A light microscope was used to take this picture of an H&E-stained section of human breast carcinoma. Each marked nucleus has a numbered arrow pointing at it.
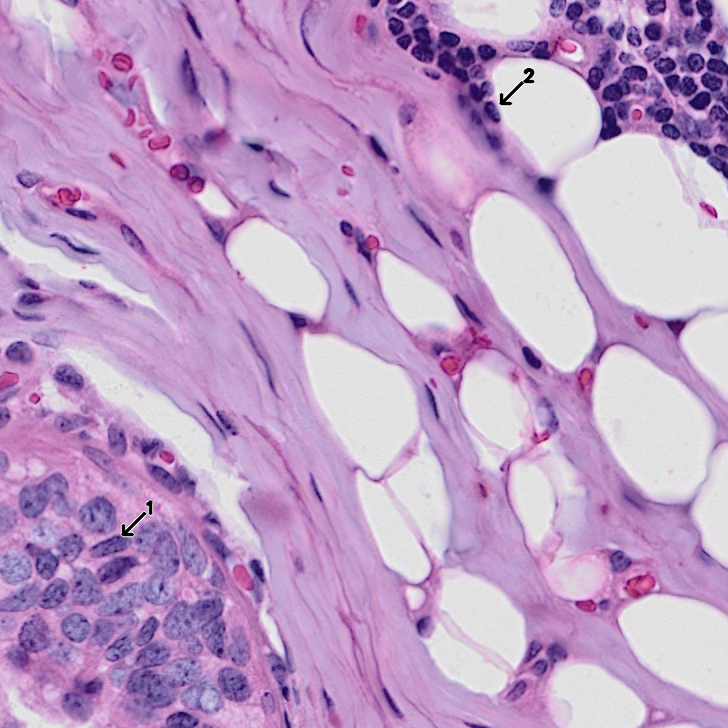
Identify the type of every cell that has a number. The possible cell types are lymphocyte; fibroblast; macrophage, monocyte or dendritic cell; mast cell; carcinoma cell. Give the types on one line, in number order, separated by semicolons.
carcinoma cell; lymphocyte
